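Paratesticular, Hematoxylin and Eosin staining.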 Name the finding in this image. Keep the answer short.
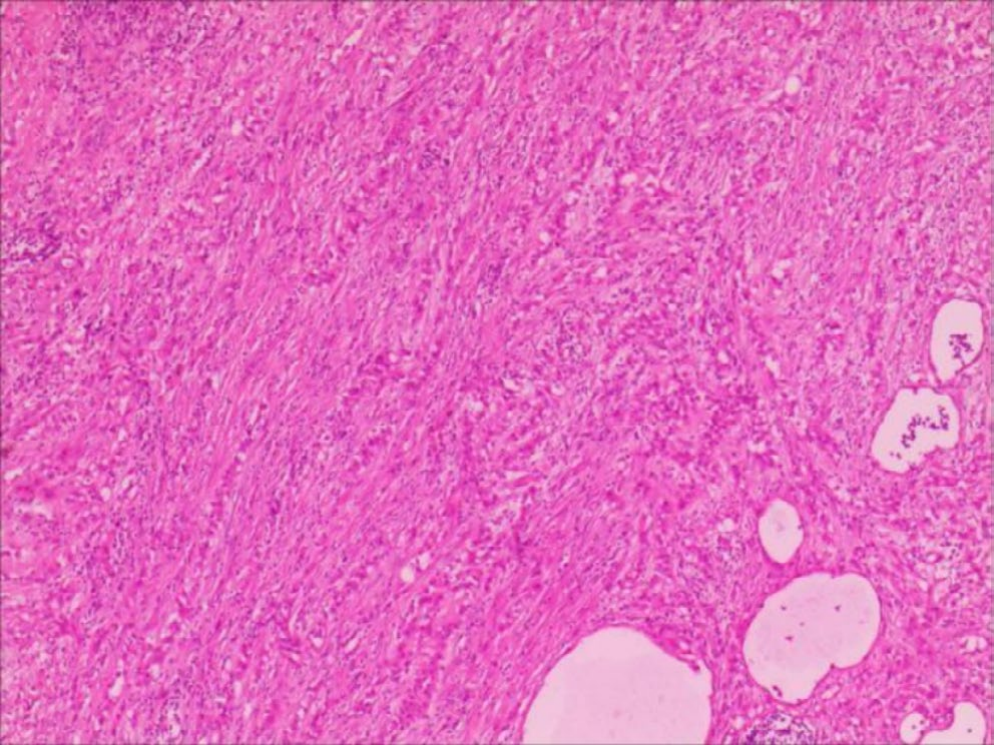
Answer: glandular, tubular, and cord‐like invasive growth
